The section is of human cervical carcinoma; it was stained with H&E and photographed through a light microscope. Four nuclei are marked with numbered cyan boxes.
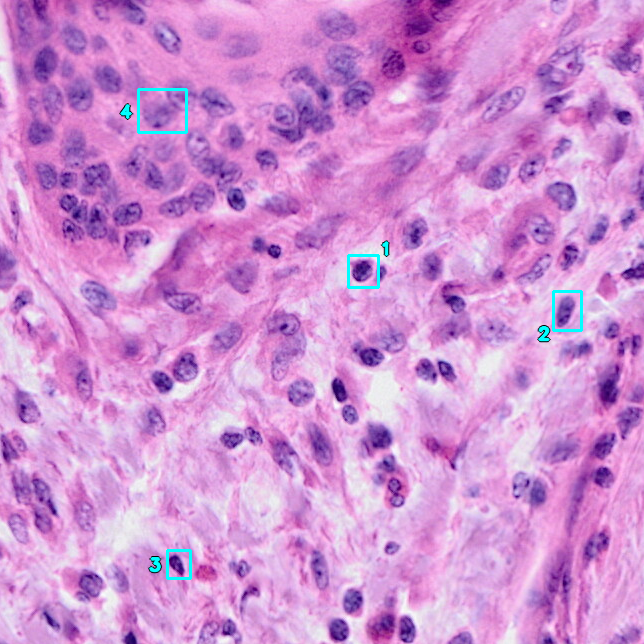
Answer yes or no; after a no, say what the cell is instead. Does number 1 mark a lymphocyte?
Yes.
